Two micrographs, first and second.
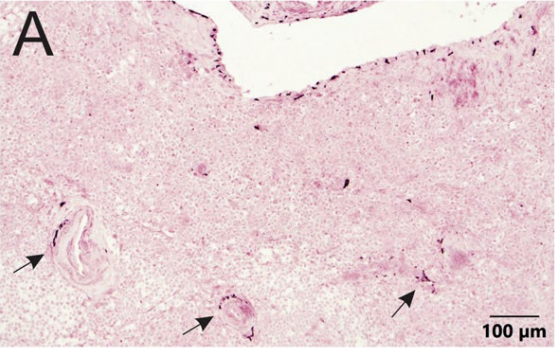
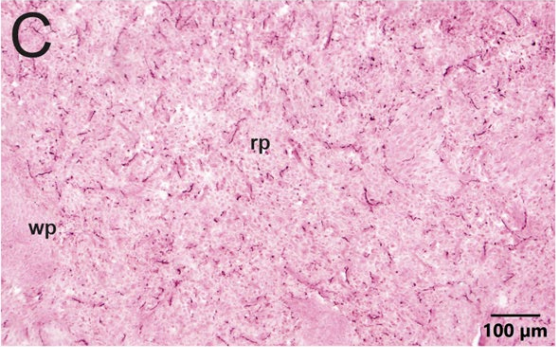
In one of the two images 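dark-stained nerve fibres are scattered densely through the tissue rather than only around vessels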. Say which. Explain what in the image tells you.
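Second image: many dark purple fibres are spread across most of the field.
Answer: the second image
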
